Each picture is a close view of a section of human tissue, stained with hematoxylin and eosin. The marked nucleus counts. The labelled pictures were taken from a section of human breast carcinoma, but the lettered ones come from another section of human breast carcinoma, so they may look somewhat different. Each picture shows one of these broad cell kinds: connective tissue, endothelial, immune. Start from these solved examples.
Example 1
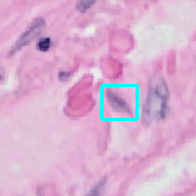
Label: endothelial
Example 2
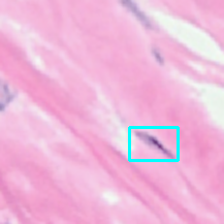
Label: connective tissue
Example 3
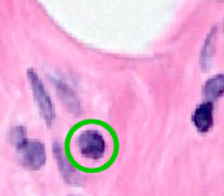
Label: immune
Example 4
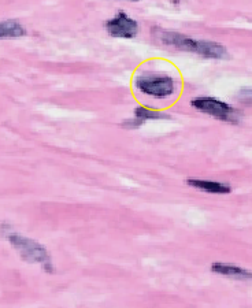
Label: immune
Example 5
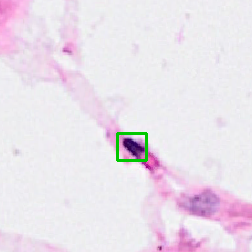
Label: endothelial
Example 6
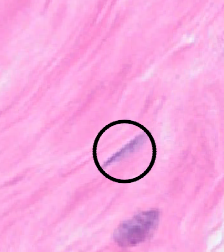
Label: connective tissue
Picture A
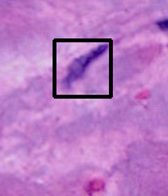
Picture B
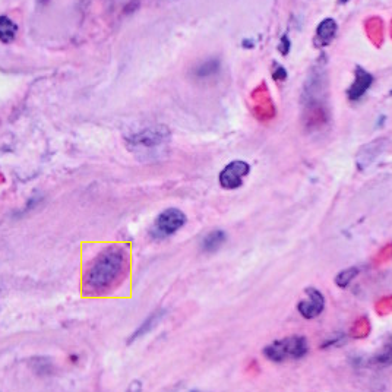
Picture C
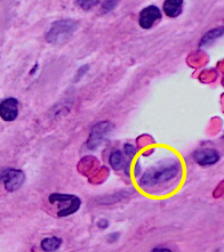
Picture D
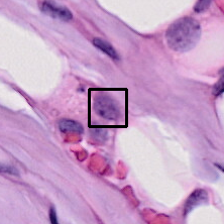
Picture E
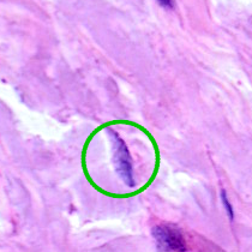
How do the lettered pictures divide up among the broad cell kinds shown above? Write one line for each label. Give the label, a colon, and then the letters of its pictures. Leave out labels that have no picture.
connective tissue: A, E
endothelial: C, D
immune: B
